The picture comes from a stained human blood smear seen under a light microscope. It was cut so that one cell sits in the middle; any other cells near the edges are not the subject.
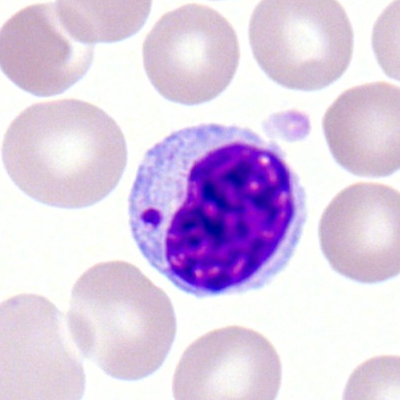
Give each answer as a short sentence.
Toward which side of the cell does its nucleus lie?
Toward the lower right of the cell lies its nucleus.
